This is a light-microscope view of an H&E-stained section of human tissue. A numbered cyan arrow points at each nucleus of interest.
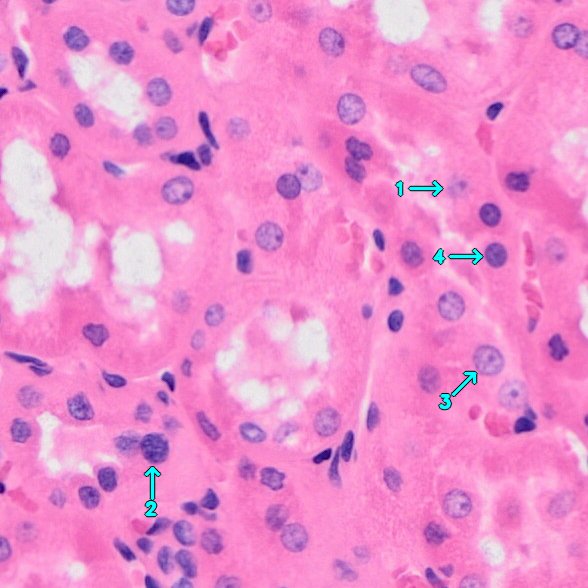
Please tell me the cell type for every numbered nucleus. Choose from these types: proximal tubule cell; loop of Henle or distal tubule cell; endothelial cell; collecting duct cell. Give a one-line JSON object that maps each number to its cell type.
{"1": "proximal tubule cell", "2": "loop of Henle or distal tubule cell", "3": "proximal tubule cell", "4": "proximal tubule cell"}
